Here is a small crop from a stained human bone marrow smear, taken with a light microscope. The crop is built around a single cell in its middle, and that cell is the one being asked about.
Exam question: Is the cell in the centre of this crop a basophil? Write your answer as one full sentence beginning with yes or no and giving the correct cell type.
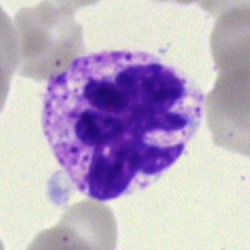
Yes, the cell at the centre is designated a basophil.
